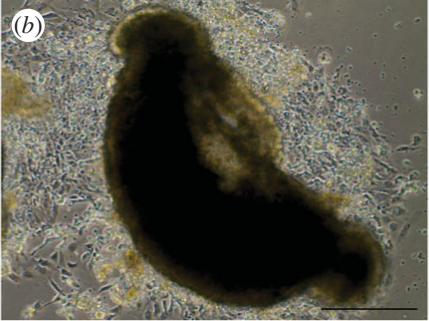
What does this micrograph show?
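A dense, dark, curved piece of tissue lies in the centre, too thick for light to pass, with a paler, more translucent rim at one end and along one edge. Around it, many flattened, elongated and spindle-shaped single cells lie spread on the dish surface, with a few small rounded bright cells among them.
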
